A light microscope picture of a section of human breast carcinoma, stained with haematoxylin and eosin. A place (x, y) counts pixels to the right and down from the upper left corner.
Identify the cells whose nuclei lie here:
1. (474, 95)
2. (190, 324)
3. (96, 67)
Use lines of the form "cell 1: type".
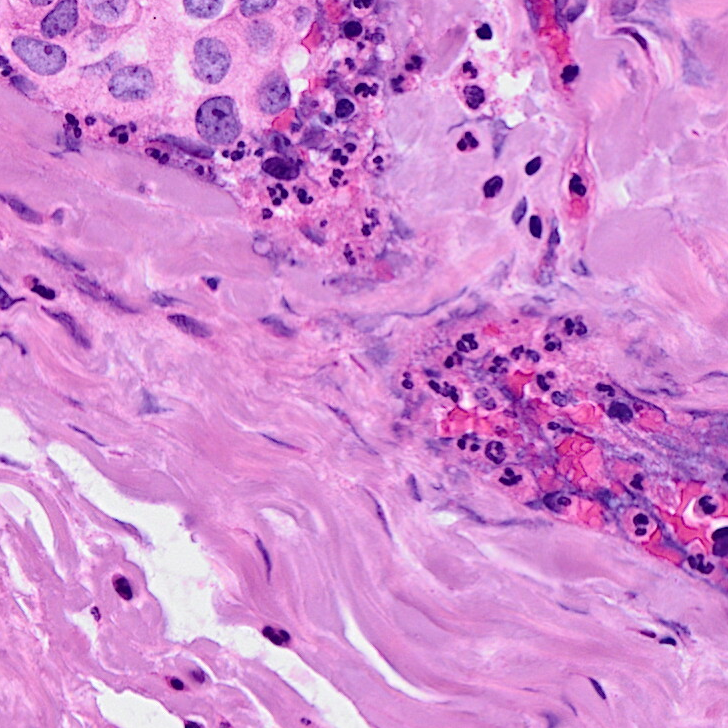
cell 1: macrophage, monocyte or dendritic cell
cell 2: fibroblast
cell 3: carcinoma cell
